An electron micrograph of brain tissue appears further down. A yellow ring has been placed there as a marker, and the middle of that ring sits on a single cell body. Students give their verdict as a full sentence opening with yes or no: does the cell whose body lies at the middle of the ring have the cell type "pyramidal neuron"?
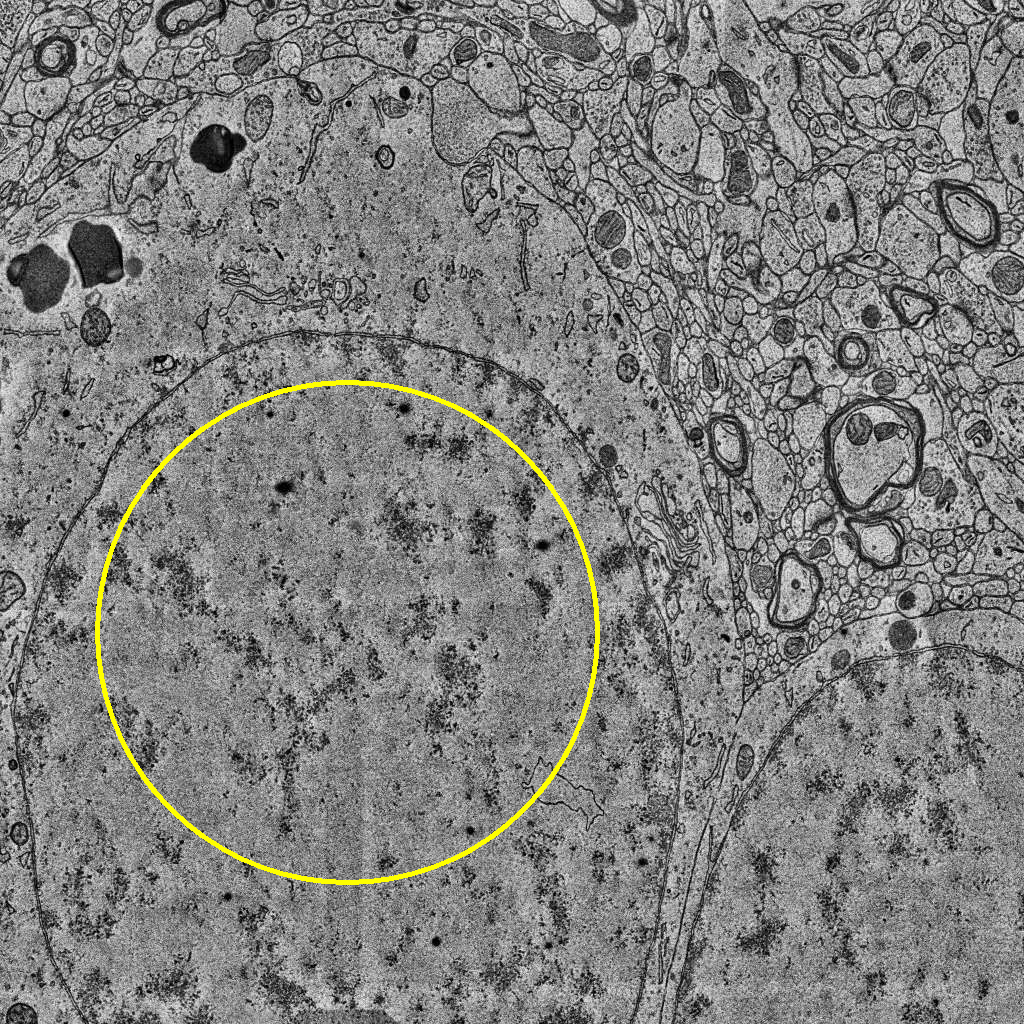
Yes, in this picture the cell whose body holds the ring's middle has that cell type.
